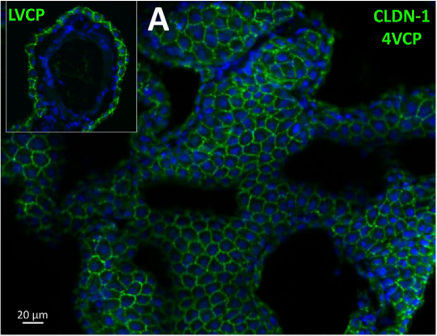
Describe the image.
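A sheet of epithelial cells covers the rounded, branching fronds of the choroid plexus. Each cell is outlined by a crisp green line, so the surface looks like a honeycomb of polygonal cells of fairly even size, each with a single round blue nucleus near its centre. The green outlines are continuous from cell to cell, marking the junctions between neighbouring epithelial cells rather than their interiors, which stay dark. Dark gaps separate the fronds.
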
